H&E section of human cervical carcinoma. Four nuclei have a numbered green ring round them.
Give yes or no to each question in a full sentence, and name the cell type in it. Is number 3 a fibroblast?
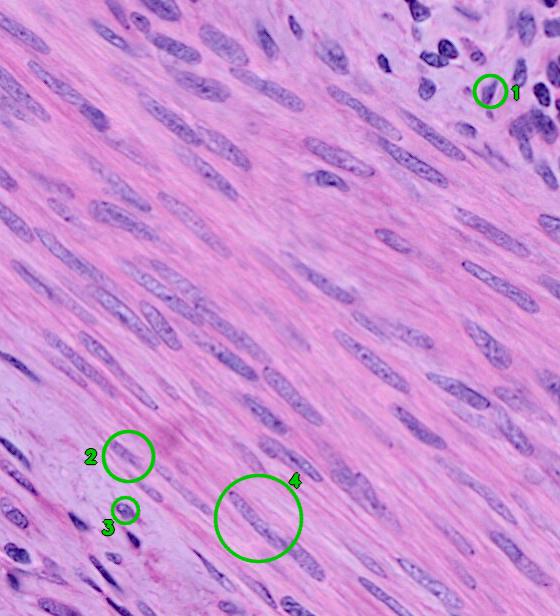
No, the right label for cell 3 is a smooth muscle cell rather than a fibroblast.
